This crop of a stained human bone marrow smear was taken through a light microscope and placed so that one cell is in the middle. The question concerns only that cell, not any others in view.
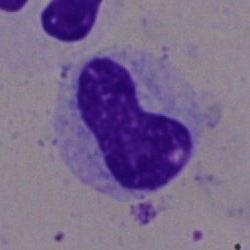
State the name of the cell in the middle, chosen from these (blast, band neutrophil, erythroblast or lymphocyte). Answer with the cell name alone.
band neutrophil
